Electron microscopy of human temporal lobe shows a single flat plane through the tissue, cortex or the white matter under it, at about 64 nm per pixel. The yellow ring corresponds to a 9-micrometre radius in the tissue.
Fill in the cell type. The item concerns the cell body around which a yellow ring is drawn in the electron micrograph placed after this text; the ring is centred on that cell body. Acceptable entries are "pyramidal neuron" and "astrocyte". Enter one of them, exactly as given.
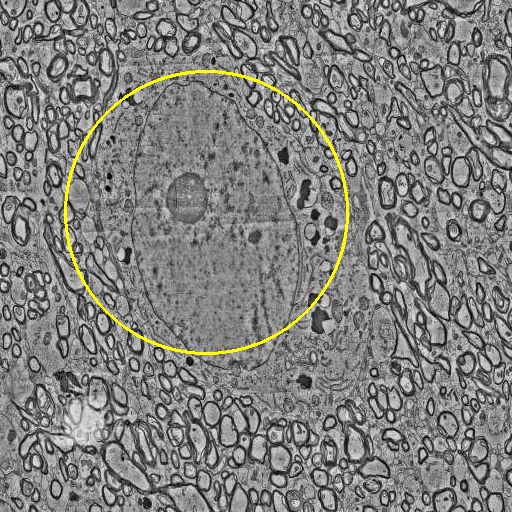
pyramidal neuron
